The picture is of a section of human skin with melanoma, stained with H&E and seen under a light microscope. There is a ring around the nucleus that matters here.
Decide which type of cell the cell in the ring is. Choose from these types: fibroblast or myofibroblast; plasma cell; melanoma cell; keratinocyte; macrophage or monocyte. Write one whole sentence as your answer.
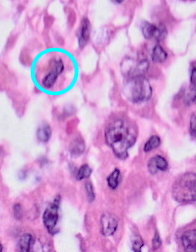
It is as a macrophage or monocyte that the cell in the ring is classified.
